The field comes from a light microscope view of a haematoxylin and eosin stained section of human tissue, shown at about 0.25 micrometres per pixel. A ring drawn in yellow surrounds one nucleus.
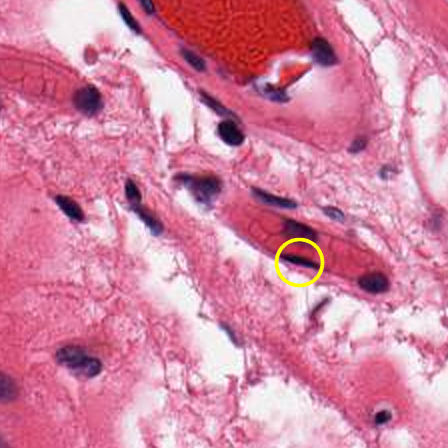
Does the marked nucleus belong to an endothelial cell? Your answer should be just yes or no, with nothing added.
yes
